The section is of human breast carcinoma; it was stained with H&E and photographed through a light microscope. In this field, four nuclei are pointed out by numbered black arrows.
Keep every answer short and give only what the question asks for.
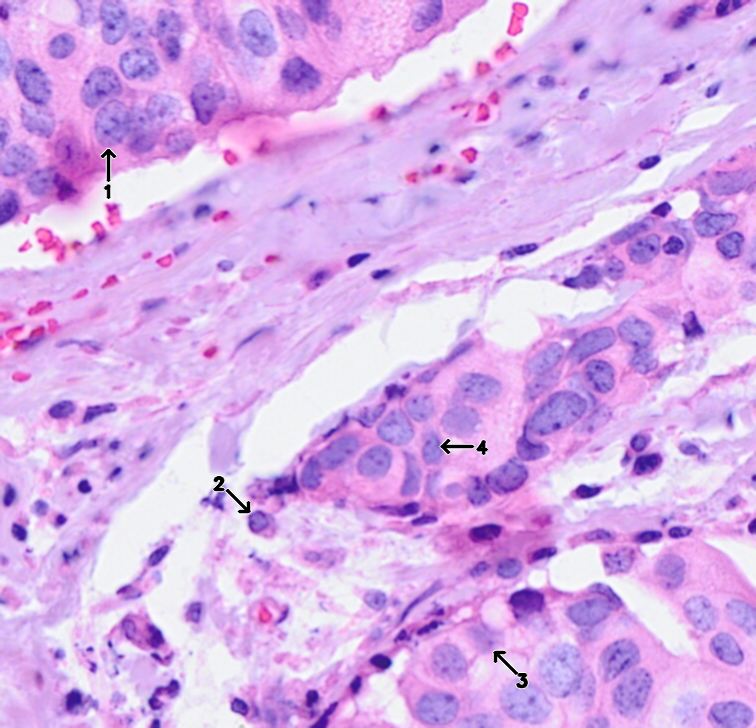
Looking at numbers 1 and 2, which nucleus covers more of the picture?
1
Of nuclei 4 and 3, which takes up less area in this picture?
4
